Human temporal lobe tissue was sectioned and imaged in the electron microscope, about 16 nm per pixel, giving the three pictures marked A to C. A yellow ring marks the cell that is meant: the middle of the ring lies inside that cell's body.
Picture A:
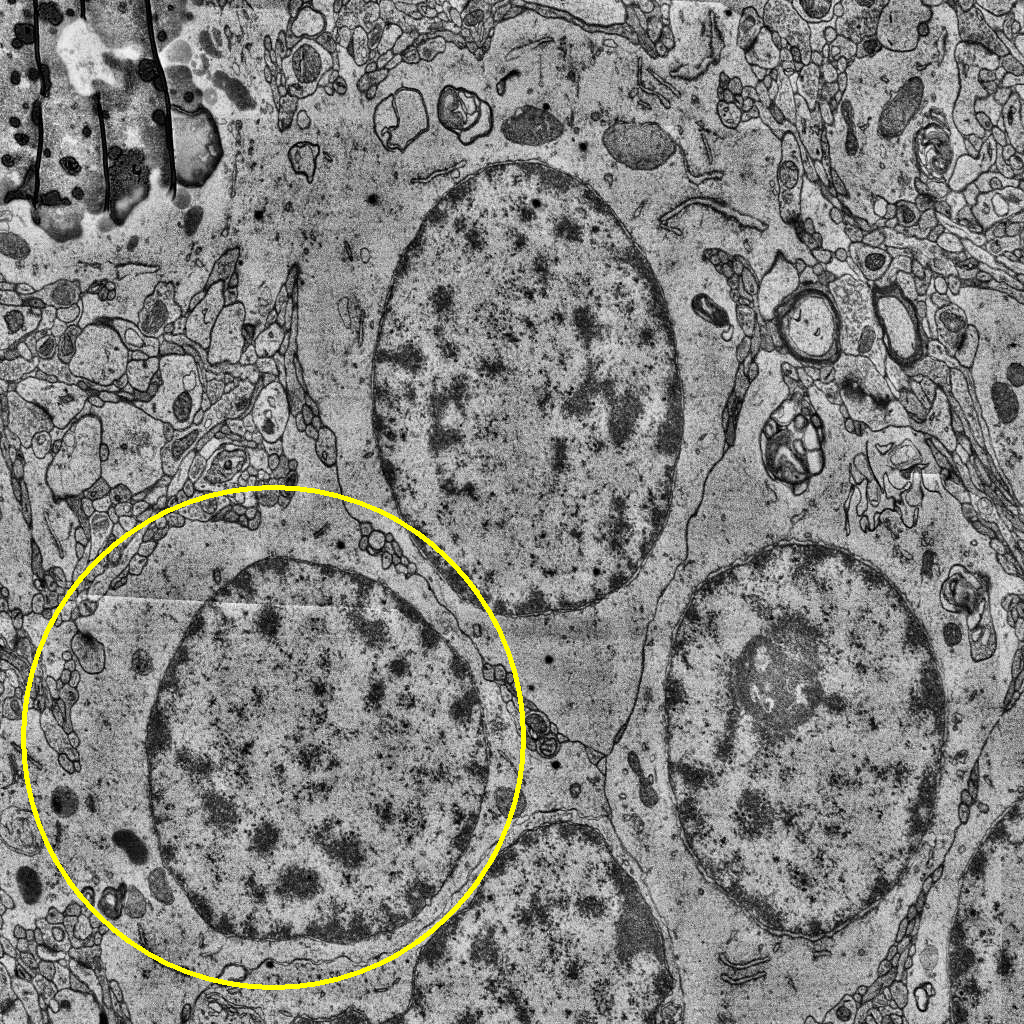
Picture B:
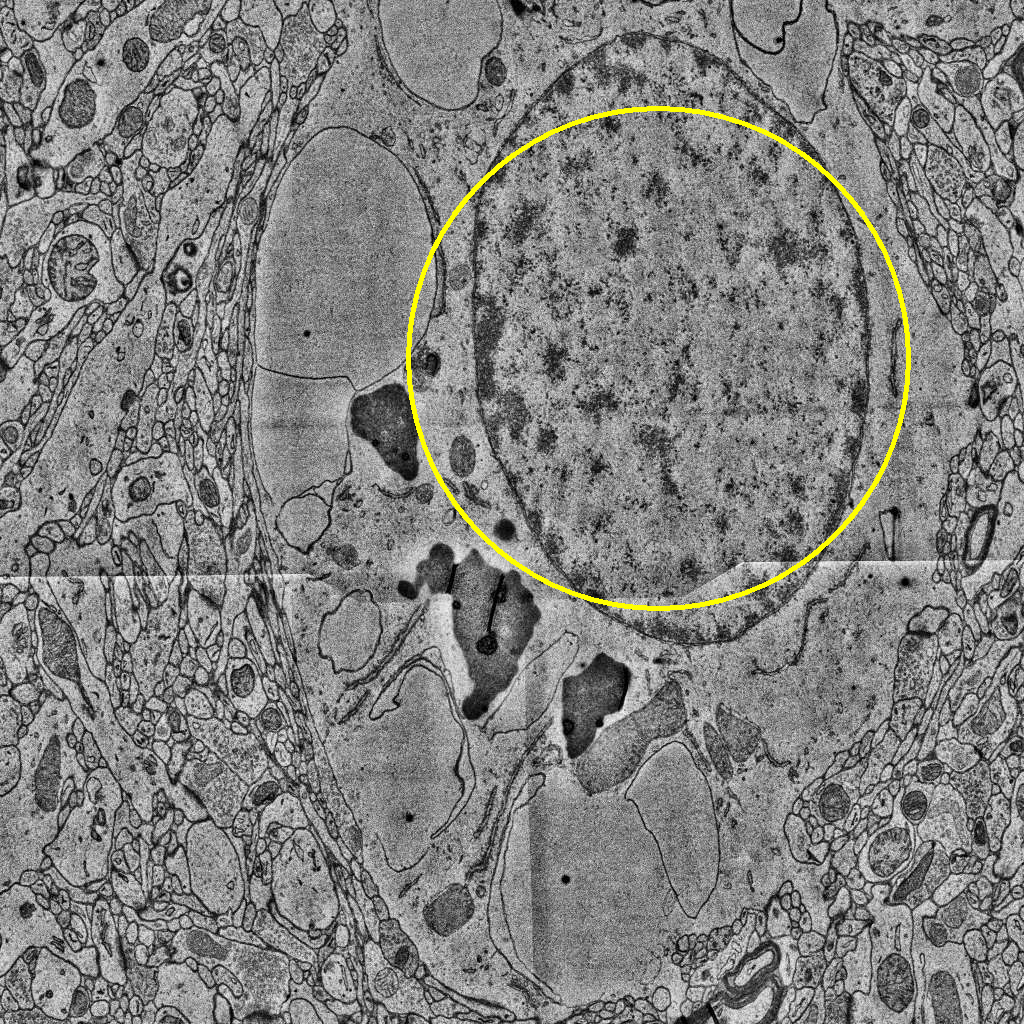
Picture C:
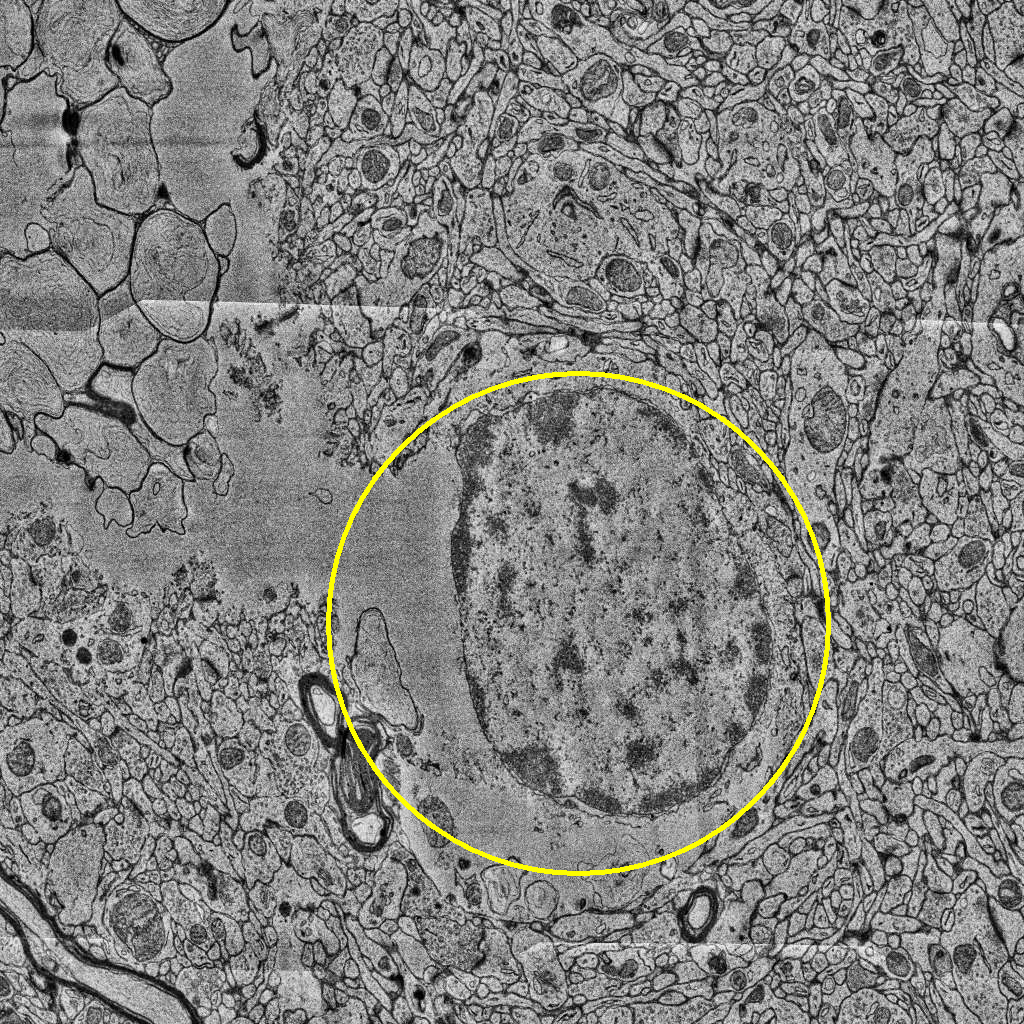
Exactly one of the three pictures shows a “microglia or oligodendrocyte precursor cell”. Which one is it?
The cell in picture C is the “microglia or oligodendrocyte precursor cell”.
